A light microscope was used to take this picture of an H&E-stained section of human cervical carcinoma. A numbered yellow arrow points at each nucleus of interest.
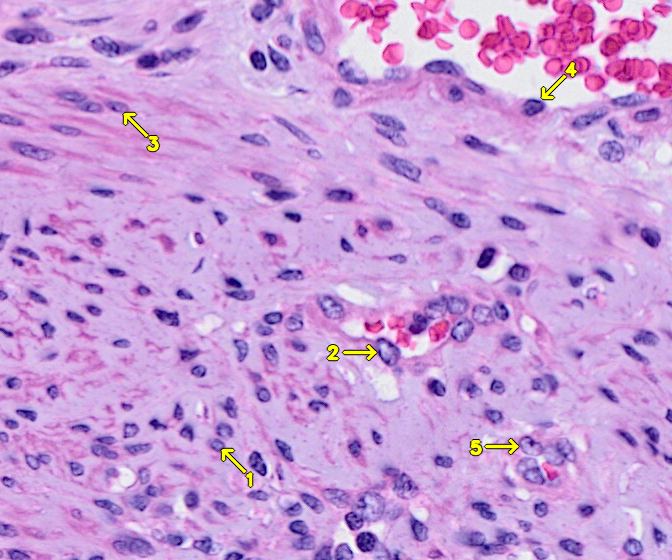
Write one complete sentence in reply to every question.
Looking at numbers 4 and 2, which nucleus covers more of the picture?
Nucleus 2 is the larger one, covering about 1.5 times the area of nucleus 4.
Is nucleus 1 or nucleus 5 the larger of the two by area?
At about 2 times the area of nucleus 1, nucleus 5 is the larger of the two.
